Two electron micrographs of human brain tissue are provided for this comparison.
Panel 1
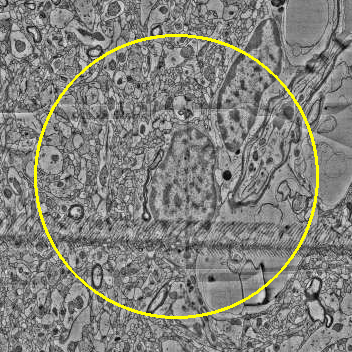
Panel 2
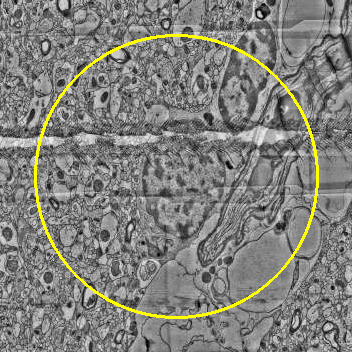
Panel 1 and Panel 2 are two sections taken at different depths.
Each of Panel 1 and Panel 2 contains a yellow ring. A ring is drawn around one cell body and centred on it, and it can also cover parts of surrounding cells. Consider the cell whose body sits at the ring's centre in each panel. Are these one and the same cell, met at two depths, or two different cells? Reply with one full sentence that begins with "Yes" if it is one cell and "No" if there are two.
Yes, the marked cell is the same in both rings.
